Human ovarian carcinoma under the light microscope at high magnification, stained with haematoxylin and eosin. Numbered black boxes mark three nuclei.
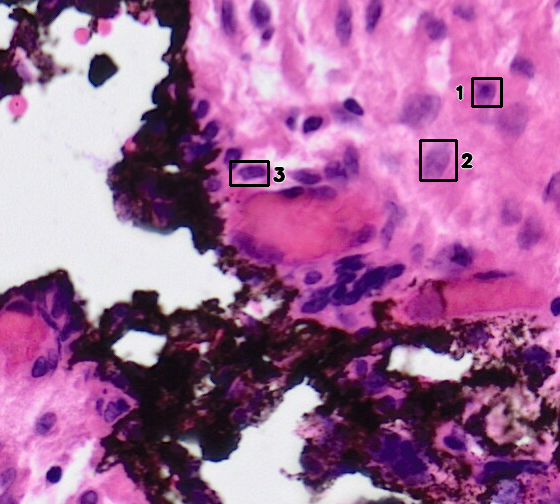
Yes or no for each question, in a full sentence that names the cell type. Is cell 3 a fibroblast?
No, what is marked as number 3 is a macrophage or monocyte rather than a fibroblast.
